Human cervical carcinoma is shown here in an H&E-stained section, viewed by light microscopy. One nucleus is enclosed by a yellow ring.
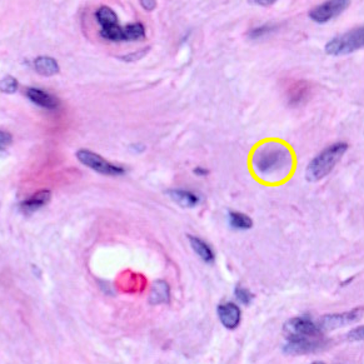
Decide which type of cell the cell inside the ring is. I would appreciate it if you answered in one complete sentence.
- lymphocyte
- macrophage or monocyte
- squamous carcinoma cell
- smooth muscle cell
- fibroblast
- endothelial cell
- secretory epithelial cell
The cell type represented by the cell inside the ring is that of a fibroblast.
